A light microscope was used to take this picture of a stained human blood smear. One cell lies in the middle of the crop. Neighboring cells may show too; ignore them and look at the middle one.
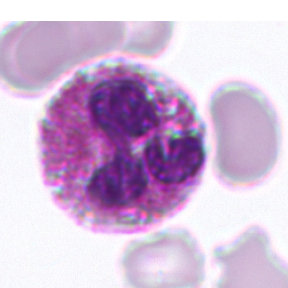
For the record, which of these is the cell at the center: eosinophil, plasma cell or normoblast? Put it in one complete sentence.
Here the cell in the middle is an eosinophil.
